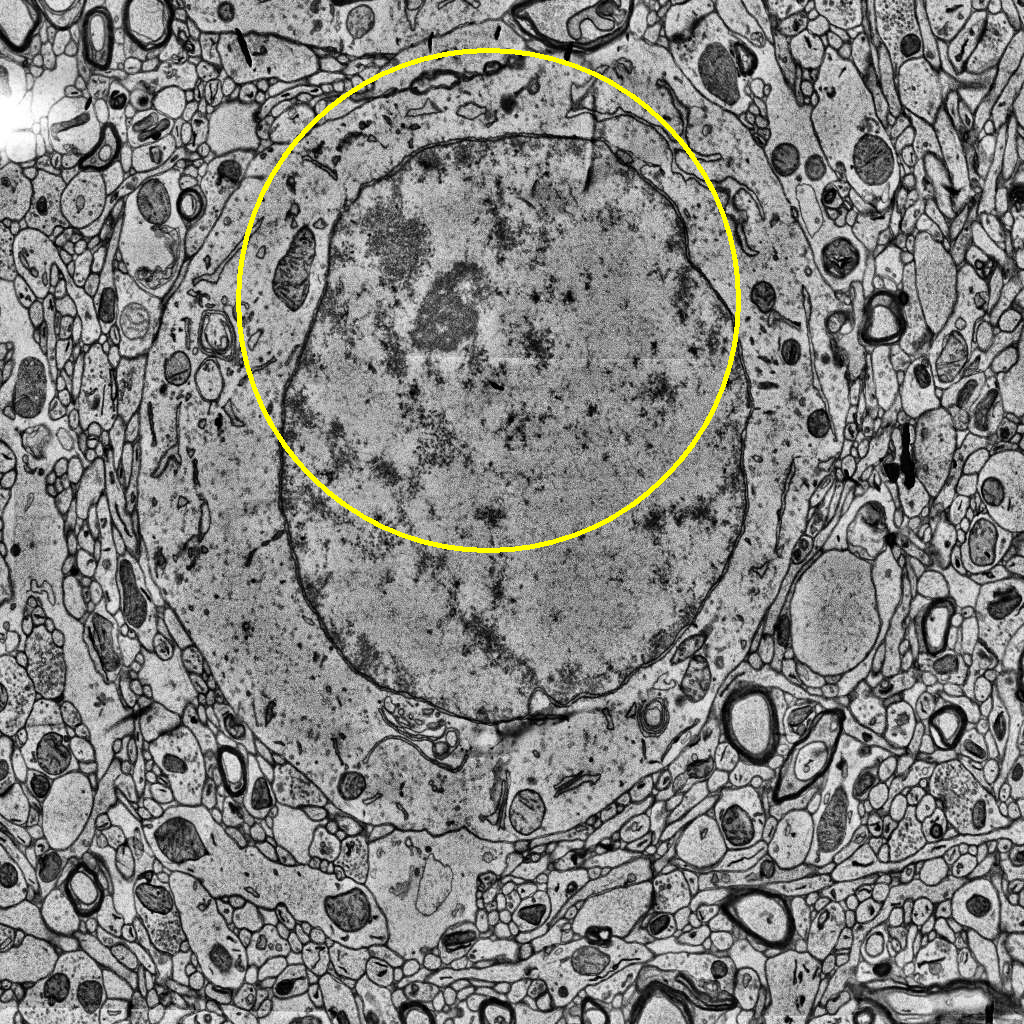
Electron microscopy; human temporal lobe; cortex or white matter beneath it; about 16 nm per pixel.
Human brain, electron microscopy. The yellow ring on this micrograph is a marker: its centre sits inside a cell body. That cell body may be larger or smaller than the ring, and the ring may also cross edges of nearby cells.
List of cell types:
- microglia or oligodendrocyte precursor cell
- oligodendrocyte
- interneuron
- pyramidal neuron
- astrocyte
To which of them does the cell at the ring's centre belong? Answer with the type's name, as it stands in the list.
pyramidal neuron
